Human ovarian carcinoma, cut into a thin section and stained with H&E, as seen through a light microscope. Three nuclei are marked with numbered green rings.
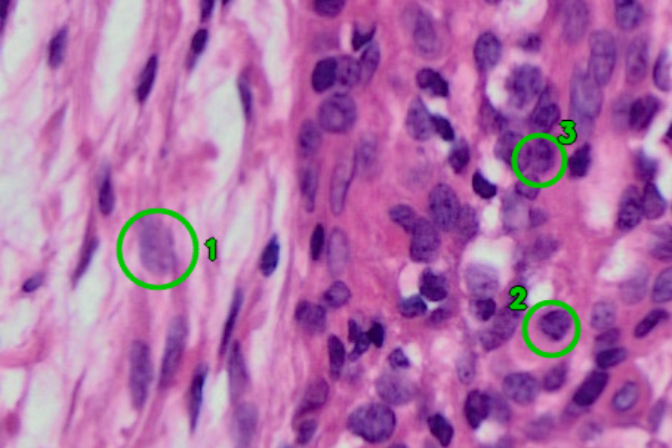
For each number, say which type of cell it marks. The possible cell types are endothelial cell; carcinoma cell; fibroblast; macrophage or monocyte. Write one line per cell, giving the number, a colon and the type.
1: fibroblast
2: macrophage or monocyte
3: carcinoma cell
